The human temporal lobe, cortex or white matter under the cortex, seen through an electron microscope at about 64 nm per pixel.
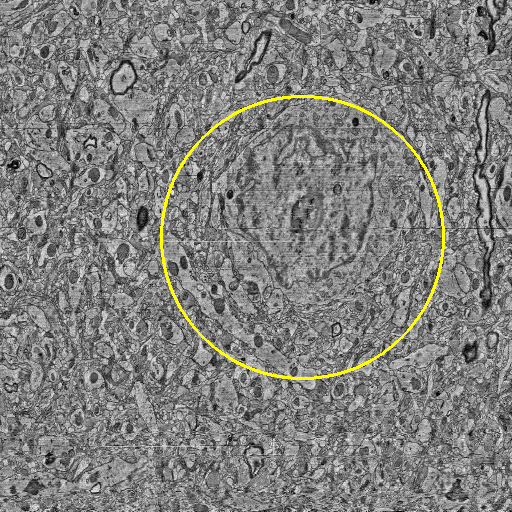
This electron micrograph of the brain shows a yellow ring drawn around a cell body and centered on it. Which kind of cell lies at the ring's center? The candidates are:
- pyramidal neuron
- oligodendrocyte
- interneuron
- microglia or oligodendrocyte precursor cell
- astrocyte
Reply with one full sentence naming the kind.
The cell lying at the ring's center in this micrograph is an interneuron.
